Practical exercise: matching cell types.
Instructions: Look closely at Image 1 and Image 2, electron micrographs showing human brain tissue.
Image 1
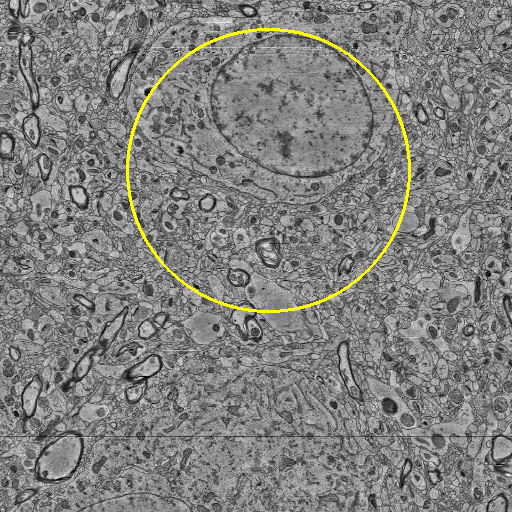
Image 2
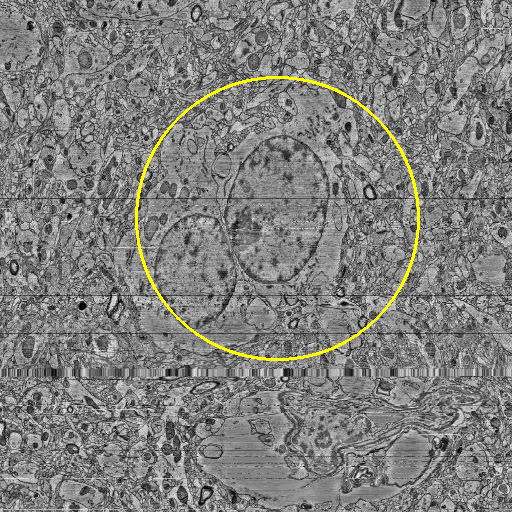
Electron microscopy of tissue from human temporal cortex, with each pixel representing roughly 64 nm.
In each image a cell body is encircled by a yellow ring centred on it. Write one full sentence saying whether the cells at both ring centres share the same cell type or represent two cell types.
Across Image 1 and Image 2, the cells at the ring centres represent two cell types.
